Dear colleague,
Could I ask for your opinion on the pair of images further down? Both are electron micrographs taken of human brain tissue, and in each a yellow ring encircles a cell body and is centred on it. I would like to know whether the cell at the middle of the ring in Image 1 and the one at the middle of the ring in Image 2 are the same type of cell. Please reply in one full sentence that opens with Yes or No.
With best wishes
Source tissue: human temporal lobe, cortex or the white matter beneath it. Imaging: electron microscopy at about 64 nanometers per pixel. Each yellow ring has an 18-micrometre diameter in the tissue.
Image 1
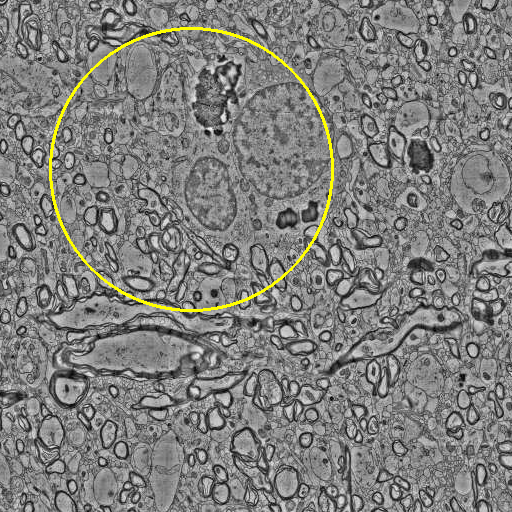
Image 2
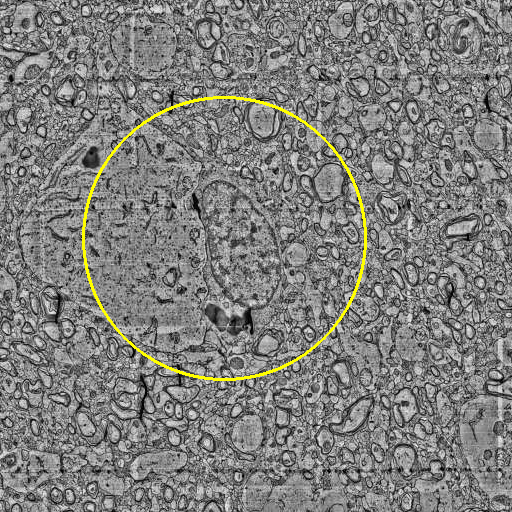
Yes, the cells at the ring centres in Image 1 and Image 2 are of one type.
